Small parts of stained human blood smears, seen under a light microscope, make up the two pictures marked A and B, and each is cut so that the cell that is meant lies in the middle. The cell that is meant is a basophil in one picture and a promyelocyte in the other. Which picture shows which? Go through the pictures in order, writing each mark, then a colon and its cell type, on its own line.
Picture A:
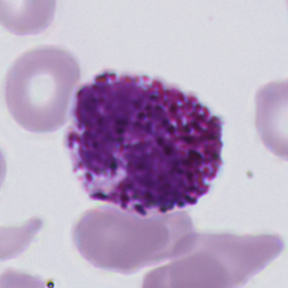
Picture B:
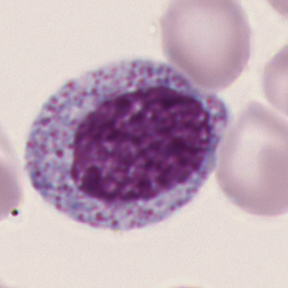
A: basophil
B: promyelocyte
